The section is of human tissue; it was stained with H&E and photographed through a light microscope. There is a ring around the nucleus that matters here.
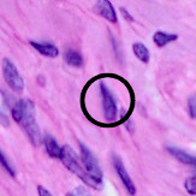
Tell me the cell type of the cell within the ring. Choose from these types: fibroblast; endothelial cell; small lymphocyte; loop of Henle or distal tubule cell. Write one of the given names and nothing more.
fibroblast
